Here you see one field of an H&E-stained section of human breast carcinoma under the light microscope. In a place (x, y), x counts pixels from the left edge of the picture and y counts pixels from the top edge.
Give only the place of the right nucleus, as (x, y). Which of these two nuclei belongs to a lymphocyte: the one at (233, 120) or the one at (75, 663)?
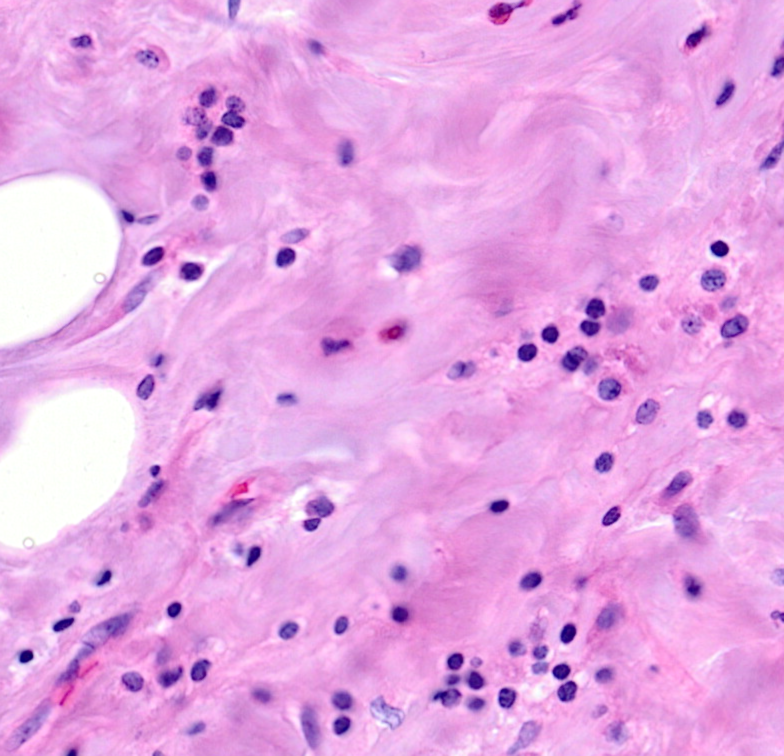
(233, 120)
